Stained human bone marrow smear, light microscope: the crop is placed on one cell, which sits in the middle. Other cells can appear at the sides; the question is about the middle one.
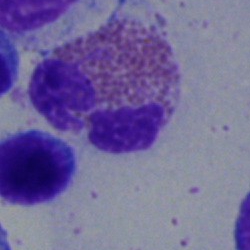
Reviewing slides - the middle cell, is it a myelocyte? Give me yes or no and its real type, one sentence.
No, at the middle of the crop is an eosinophil, not a myelocyte.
